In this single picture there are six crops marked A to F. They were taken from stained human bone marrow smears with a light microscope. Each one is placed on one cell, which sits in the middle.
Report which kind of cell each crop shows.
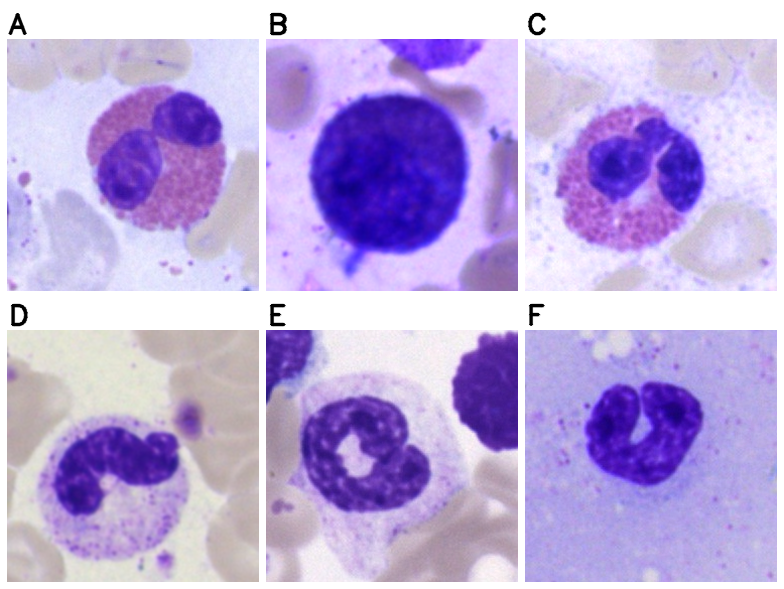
A: eosinophil
B: eosinophil
C: eosinophil
D: segmented neutrophil
E: band neutrophil
F: band neutrophil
